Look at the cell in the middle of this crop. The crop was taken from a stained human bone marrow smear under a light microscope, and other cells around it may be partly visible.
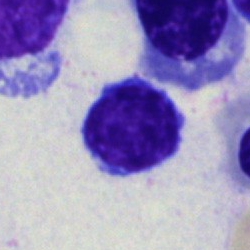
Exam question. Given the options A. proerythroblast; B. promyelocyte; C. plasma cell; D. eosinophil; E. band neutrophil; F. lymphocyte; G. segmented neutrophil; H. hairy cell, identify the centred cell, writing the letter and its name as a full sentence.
For this crop, option F is right, the centered cell being a lymphocyte.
